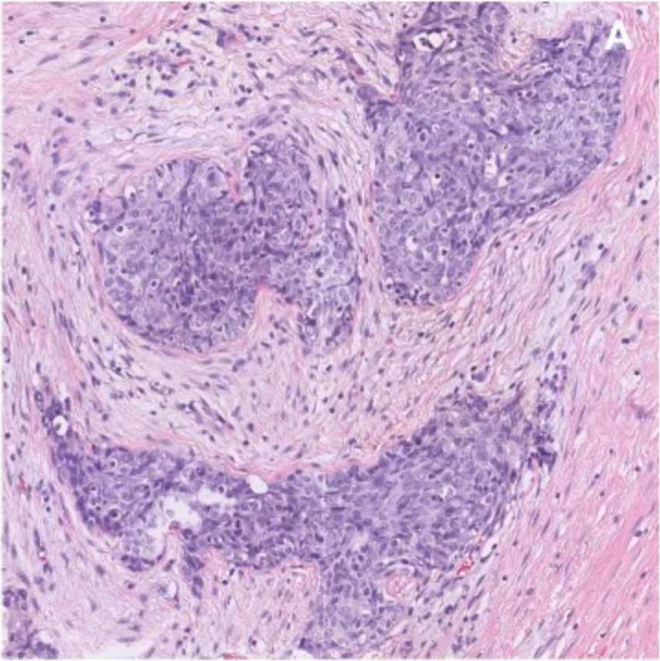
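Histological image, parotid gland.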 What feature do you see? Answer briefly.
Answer: tumoral nests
